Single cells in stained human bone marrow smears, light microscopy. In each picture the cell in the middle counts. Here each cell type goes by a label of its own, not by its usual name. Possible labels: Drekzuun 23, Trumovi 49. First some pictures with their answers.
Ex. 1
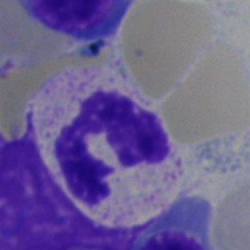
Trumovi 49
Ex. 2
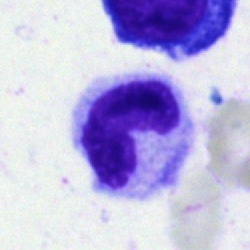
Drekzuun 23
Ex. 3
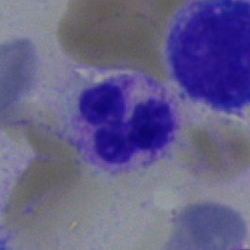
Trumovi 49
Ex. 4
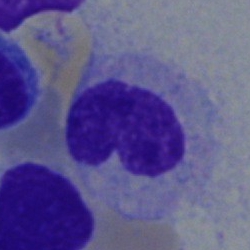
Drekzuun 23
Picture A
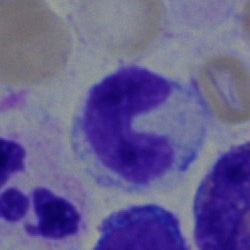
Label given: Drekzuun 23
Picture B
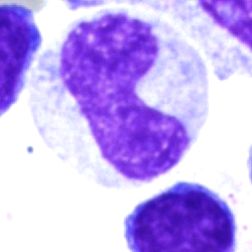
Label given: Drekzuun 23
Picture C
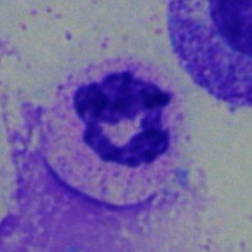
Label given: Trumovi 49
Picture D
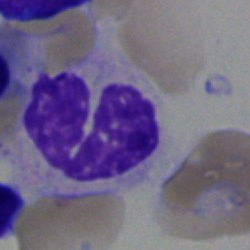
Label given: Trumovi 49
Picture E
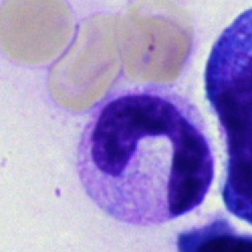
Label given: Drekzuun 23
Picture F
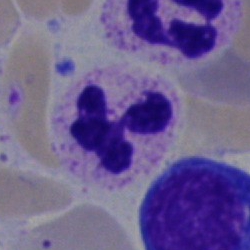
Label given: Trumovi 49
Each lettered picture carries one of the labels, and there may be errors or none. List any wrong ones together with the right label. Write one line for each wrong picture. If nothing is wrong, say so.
Nothing to fix; every label fits.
